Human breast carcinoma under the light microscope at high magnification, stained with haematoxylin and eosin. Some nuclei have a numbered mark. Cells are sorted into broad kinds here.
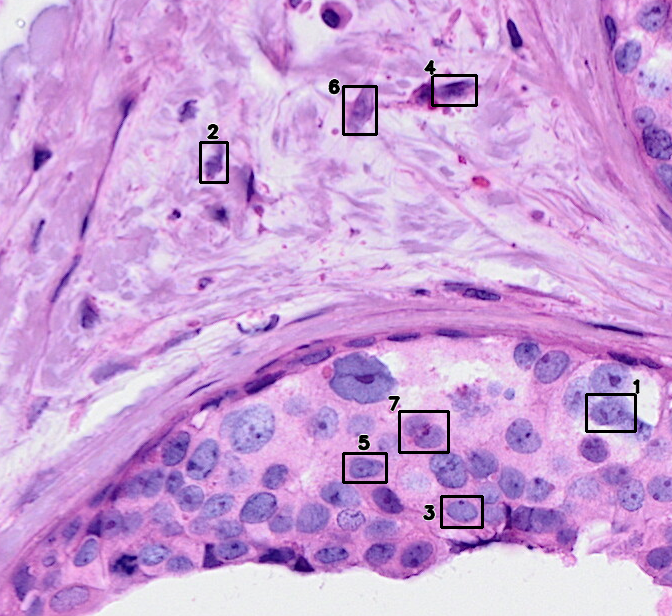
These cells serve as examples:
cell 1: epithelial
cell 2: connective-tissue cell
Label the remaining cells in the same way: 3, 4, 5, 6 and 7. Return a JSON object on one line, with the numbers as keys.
{"3": "epithelial", "4": "connective-tissue cell", "5": "epithelial", "6": "connective-tissue cell", "7": "epithelial"}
